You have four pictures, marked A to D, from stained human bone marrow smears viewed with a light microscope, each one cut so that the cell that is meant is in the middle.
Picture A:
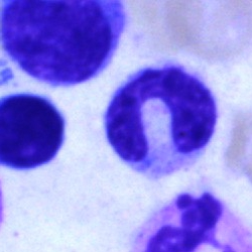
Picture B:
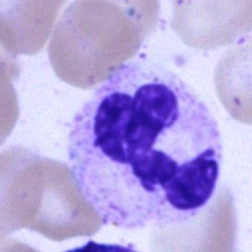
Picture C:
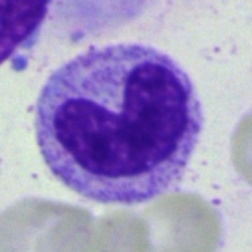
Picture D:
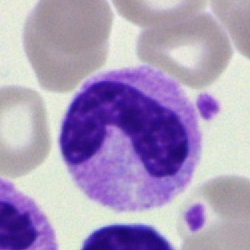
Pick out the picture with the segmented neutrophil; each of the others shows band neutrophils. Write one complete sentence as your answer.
The segmented neutrophil is the one in picture B.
